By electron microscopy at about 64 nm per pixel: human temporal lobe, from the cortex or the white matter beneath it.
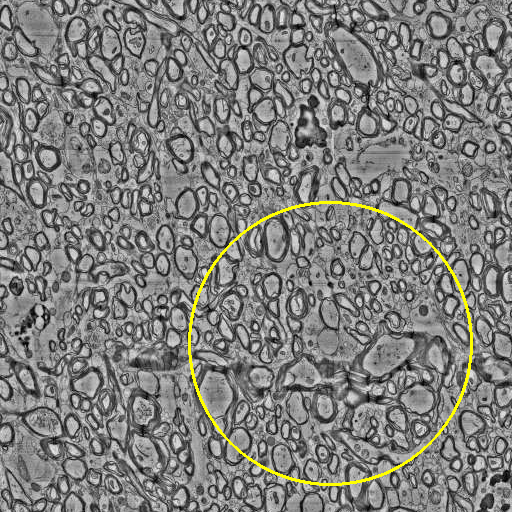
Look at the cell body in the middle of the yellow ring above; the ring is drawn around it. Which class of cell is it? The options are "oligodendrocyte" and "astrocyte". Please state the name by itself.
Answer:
oligodendrocyte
